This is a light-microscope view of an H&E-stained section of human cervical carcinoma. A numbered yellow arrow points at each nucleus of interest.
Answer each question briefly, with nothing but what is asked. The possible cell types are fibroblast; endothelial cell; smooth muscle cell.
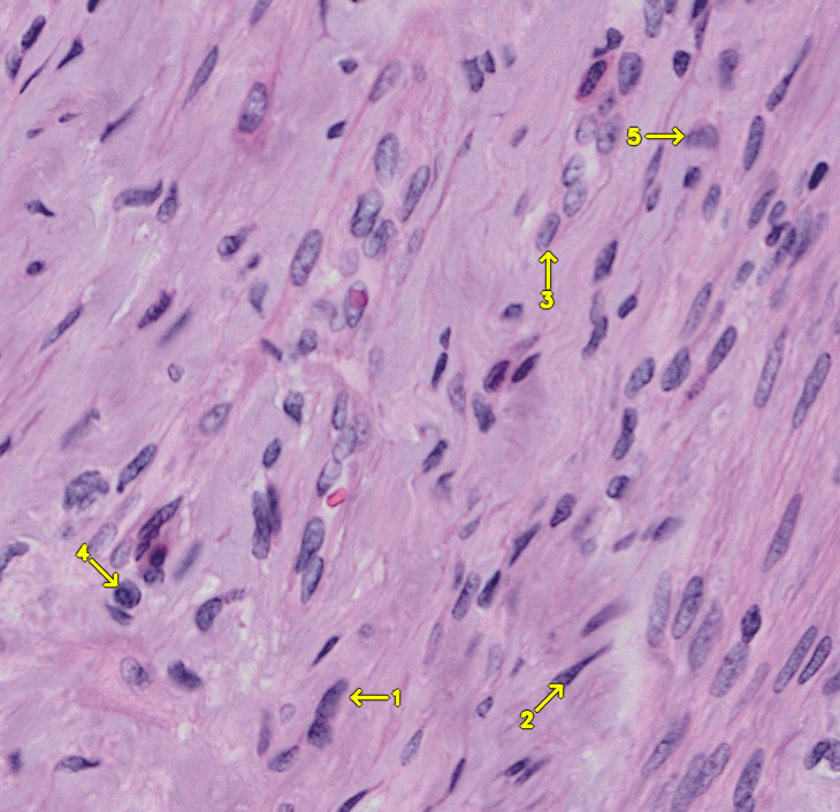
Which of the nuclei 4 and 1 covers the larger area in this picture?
1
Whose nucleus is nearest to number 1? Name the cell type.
fibroblast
